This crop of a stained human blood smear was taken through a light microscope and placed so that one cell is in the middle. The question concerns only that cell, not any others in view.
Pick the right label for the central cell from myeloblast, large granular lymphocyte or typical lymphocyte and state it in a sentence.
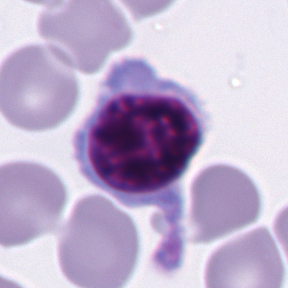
Within this crop, a typical lymphocyte occupies the central position.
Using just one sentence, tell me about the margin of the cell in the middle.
The edge is uneven, and this unevenness takes the form of ragged stretches or projections.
